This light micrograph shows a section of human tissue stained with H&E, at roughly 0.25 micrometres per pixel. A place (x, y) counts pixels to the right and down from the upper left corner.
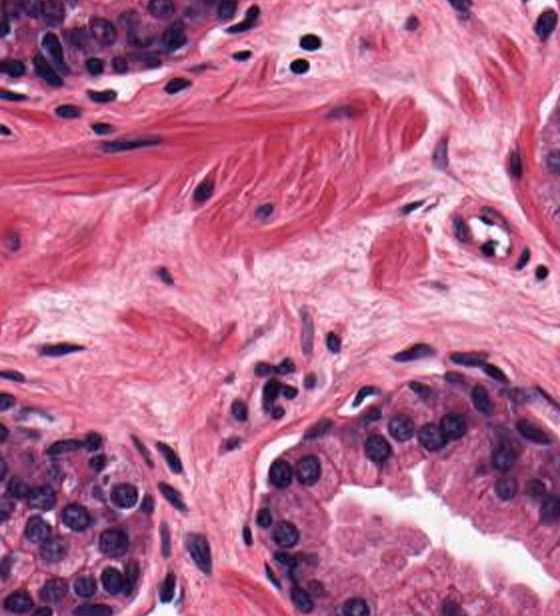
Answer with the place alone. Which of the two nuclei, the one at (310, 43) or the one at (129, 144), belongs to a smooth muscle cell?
(129, 144)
